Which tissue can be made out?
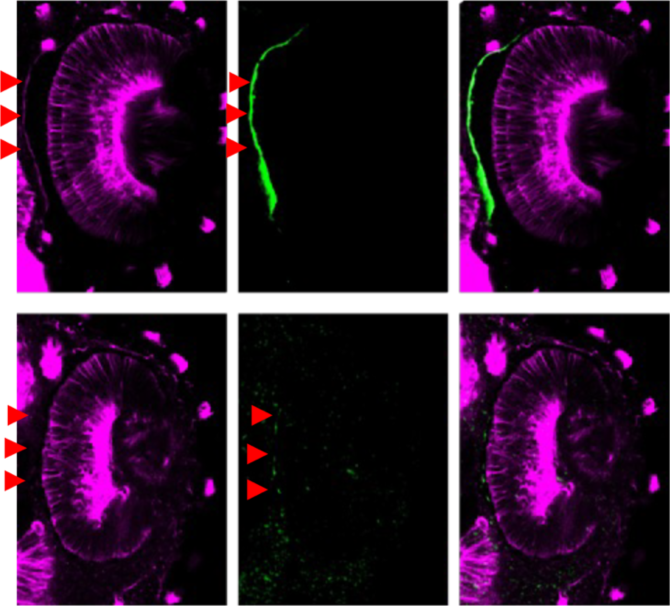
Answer: Eyes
